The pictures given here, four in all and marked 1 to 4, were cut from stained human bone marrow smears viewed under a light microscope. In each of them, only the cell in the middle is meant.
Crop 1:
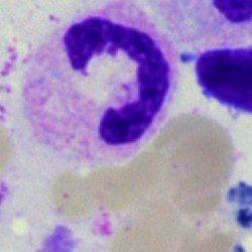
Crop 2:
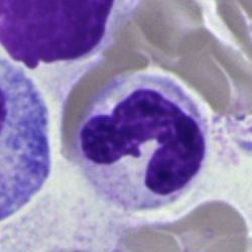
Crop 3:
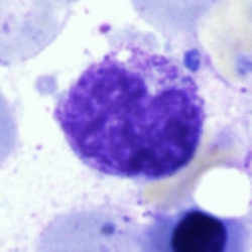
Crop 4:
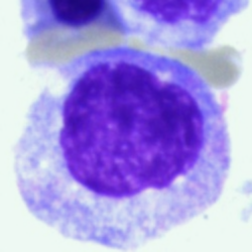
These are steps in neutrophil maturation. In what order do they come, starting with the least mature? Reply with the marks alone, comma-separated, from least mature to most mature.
4, 3, 2, 1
